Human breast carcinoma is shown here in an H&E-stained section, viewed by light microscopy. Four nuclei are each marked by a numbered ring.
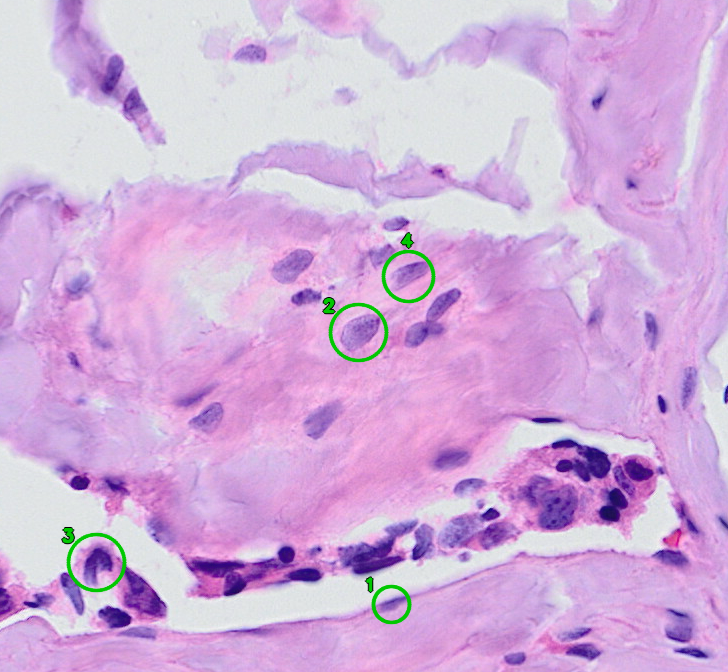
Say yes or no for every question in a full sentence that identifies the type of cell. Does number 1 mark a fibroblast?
Yes, the cell that goes by number 1 is a fibroblast.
